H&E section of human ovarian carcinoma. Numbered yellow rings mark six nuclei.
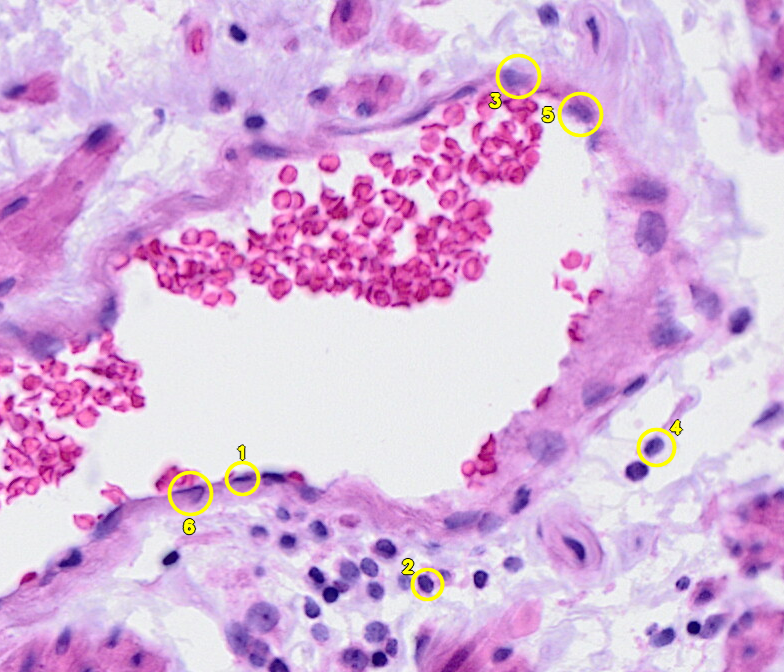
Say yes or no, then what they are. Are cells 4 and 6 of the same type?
No, cell 4 is a lymphocyte and cell 6 is an endothelial cell.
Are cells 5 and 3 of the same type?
Yes, both are endothelial cells.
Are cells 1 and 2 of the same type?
No, cell 1 is an endothelial cell and cell 2 is a lymphocyte.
